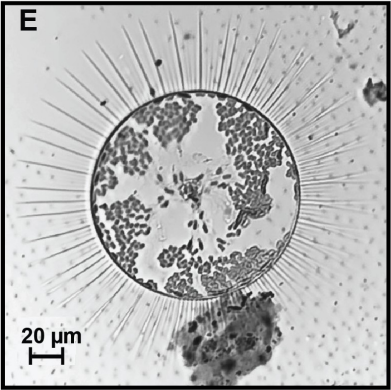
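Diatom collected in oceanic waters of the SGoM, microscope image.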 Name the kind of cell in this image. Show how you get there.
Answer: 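Gossleriella tropica. A circular cell with many small plastids. A dense crown of long straight fine spines radiates from the margin.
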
